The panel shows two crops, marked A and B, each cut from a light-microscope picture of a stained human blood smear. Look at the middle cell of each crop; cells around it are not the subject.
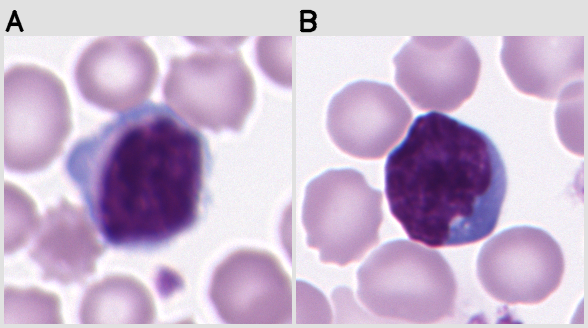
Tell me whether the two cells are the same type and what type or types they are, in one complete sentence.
Yes, the cells found in the middle of both crops are typical lymphocytes.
